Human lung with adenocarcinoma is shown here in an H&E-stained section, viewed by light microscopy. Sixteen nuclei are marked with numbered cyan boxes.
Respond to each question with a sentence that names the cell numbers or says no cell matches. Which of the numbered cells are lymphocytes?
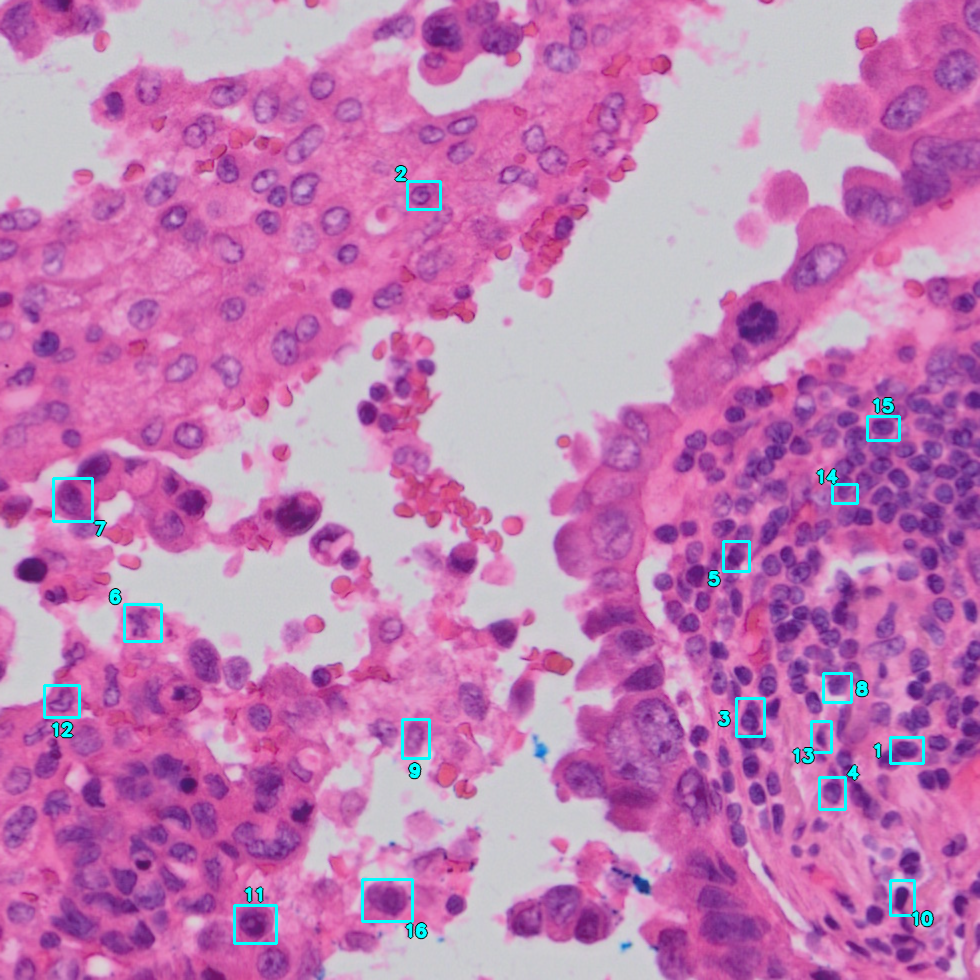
The cells marked 1, 3, 4, 5, 8, 10, 13, 14 and 15 in the section are lymphocytes.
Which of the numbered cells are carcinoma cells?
The cells that the numbers 7, 11 and 16 belong to are carcinoma cells.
